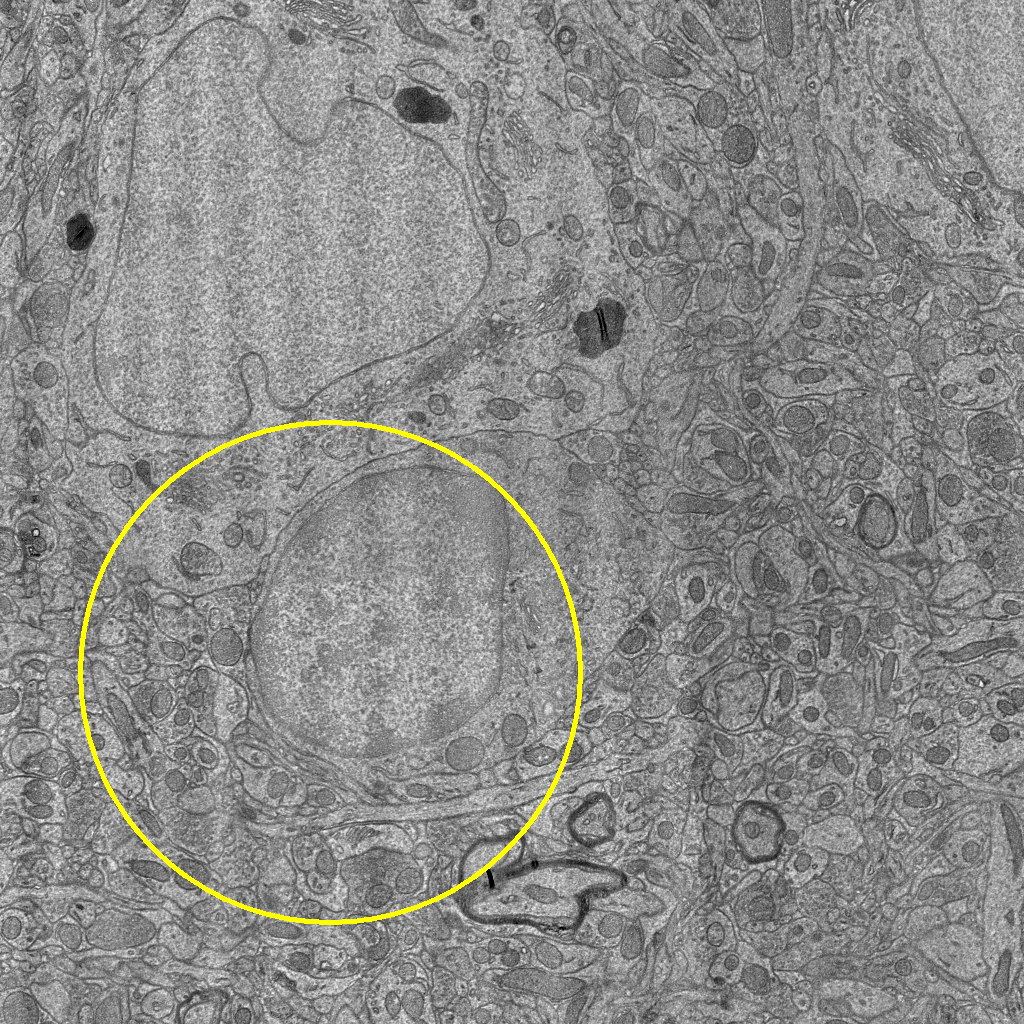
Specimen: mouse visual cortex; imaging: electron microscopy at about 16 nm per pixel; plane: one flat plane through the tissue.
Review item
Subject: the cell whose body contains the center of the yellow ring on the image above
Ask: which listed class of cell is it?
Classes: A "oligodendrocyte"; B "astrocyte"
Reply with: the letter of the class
A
